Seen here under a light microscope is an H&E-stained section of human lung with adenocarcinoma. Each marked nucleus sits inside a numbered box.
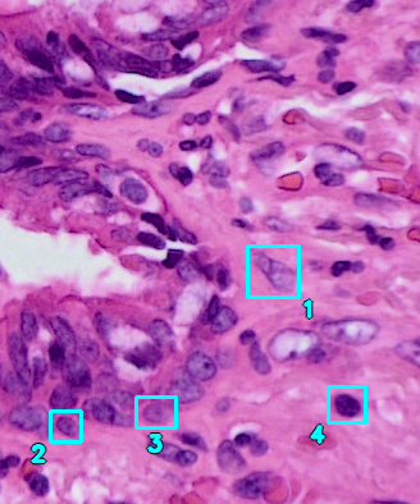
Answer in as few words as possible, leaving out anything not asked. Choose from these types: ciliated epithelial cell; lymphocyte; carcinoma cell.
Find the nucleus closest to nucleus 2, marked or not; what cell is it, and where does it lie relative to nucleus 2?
a ciliated epithelial cell above nucleus 2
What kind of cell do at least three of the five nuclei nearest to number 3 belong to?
ciliated epithelial cell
